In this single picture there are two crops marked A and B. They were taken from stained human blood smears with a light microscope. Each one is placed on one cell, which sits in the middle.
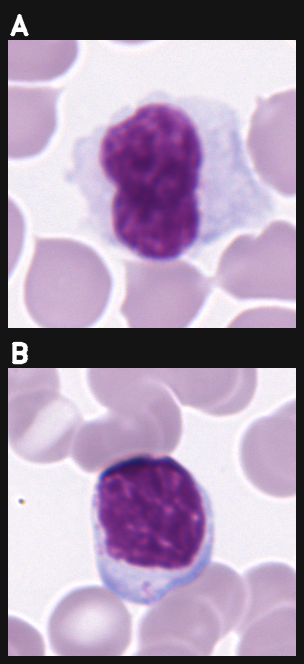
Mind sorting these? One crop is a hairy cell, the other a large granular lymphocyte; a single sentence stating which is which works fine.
Crop A holds a hairy cell; a large granular lymphocyte occupies crop B.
